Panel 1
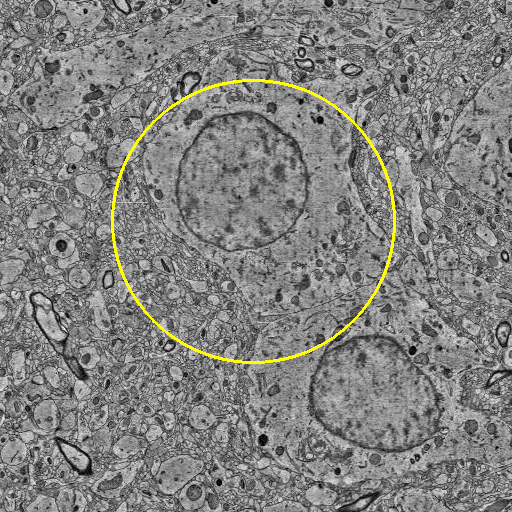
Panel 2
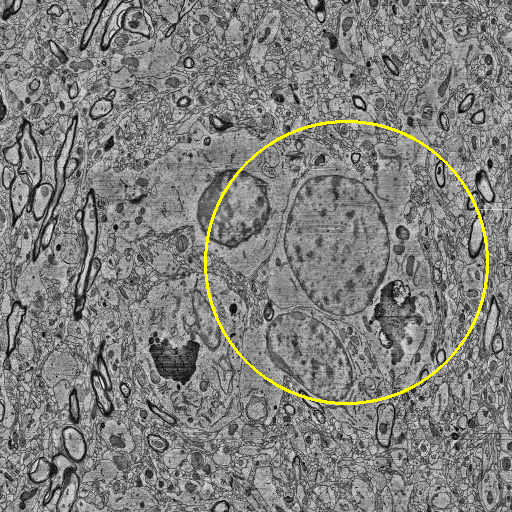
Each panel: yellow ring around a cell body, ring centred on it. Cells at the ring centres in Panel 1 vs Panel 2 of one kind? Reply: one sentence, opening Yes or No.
No, Panel 1 and Panel 2 have cells of two kinds at the ring centres.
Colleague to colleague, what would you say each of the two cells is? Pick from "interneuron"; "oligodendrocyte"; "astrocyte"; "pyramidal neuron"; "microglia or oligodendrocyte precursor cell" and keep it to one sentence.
The cell in the first picture is a pyramidal neuron; the second picture's cell is an astrocyte.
